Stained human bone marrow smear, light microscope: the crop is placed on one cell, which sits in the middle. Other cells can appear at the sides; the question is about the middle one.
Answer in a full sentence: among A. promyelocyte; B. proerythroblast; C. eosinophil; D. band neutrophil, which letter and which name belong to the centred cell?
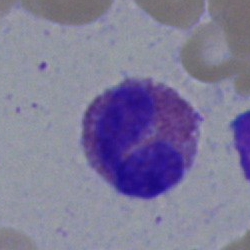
Seen at the centre of the crop is an eosinophil, so option C is correct.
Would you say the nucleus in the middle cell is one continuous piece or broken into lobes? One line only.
We find a nucleus divided into at least two lobes.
